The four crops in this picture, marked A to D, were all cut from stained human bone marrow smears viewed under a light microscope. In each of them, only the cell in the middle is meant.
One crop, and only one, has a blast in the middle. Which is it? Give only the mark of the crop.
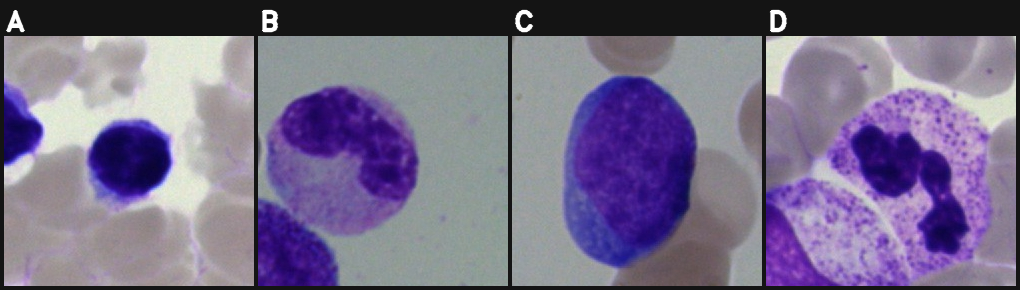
C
